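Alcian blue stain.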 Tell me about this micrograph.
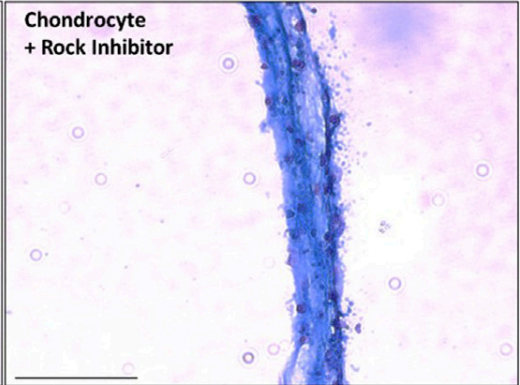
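A thin band of tissue runs vertically across the field, stained an intense, deep blue throughout, with darker purple-blue nuclei visible within it. Small round bubble-like artefacts are scattered in the pale pink background on either side.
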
